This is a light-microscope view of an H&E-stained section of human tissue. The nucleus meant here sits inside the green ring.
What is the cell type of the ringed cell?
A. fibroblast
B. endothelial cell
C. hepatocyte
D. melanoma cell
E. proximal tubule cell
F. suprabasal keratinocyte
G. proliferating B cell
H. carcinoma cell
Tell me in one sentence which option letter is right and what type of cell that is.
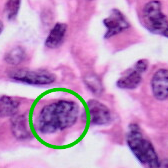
The statement that the ringed cell is a melanoma cell corresponds to option D, the correct one.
